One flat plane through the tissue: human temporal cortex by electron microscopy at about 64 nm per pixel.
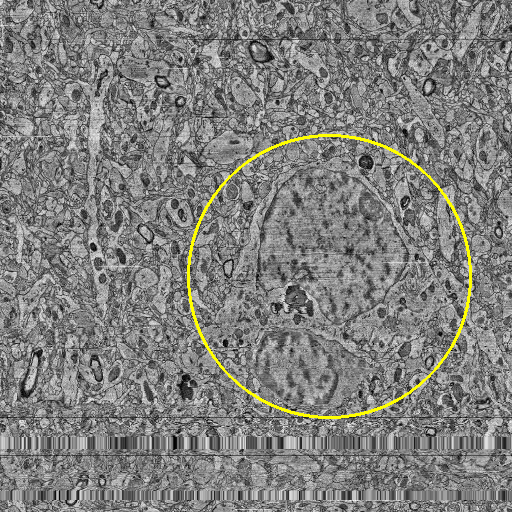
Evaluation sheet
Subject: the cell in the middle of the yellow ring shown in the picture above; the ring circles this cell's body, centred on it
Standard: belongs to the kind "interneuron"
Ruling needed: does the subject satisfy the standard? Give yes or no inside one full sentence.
Yes, the cell in the middle of the ring in the picture above belongs to the stated kind.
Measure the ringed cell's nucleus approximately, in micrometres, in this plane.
In this plane, roughly 10 micrometres across.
